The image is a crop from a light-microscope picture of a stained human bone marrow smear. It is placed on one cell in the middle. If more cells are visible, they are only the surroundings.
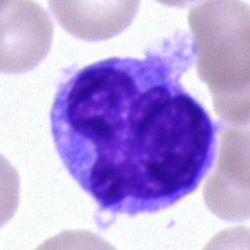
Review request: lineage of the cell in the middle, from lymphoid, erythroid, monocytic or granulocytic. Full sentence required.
The monocytic lineage is the lineage of the cell in the middle.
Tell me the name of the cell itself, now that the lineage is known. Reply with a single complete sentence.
This particular crop is centered on a monocyte.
